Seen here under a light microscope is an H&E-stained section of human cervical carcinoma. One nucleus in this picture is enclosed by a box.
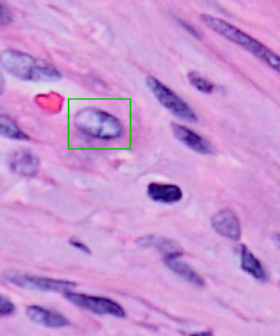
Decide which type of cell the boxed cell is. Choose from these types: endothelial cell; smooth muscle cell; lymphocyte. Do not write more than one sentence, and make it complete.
In this section, the boxed cell is an endothelial cell.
